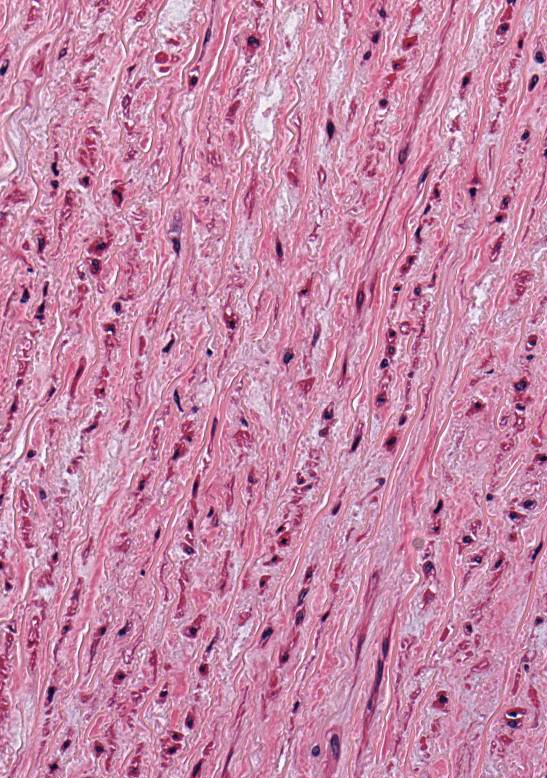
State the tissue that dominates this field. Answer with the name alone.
tunica media of an artery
